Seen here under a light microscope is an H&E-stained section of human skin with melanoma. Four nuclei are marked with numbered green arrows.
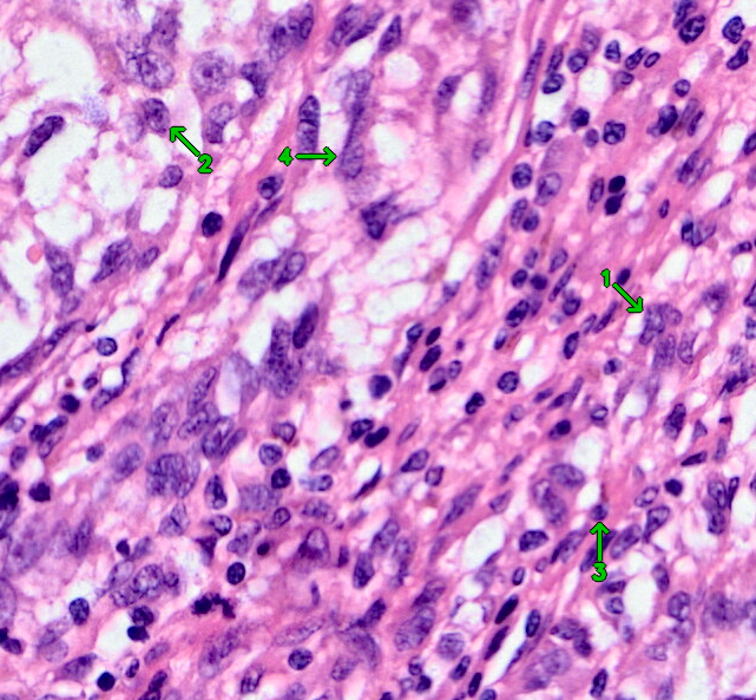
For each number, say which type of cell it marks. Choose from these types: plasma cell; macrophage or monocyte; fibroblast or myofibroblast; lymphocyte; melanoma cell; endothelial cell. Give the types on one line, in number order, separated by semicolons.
melanoma cell; melanoma cell; lymphocyte; melanoma cell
